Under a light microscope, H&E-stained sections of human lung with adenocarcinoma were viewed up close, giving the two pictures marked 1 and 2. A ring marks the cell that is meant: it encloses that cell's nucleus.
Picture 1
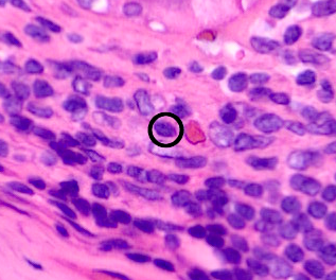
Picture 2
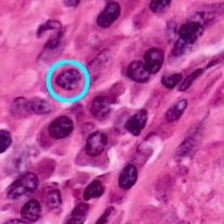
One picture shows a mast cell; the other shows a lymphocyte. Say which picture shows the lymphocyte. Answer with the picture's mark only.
1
